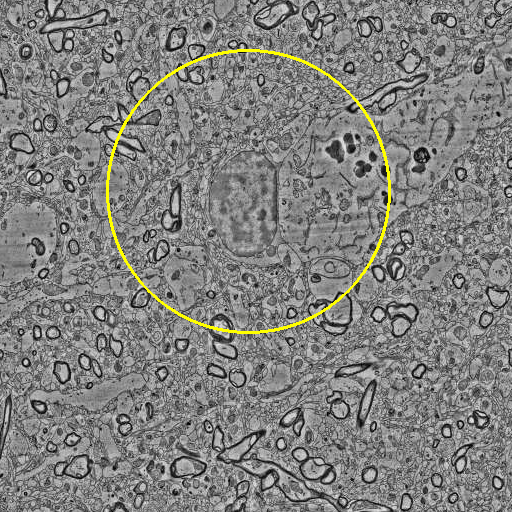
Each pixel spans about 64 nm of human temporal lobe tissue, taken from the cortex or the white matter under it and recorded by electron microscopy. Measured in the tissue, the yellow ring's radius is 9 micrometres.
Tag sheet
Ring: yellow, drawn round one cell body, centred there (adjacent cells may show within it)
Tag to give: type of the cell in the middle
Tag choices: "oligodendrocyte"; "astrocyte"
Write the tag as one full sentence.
I tag the cell centred in the yellow ring as an oligodendrocyte in this picture.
